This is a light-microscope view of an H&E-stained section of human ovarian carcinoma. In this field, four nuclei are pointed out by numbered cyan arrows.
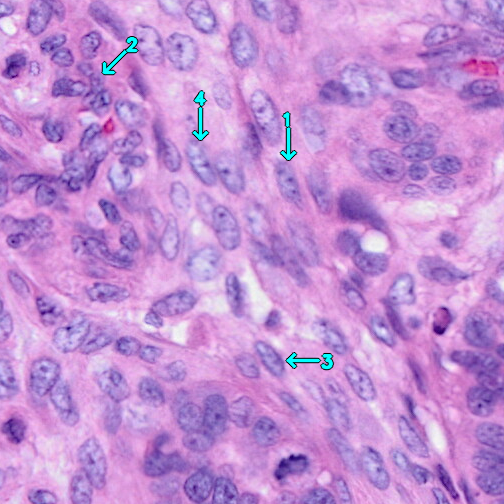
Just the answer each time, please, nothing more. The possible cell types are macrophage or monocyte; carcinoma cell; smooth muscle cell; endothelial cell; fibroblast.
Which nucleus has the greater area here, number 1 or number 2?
1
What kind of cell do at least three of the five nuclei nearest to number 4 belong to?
fibroblast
